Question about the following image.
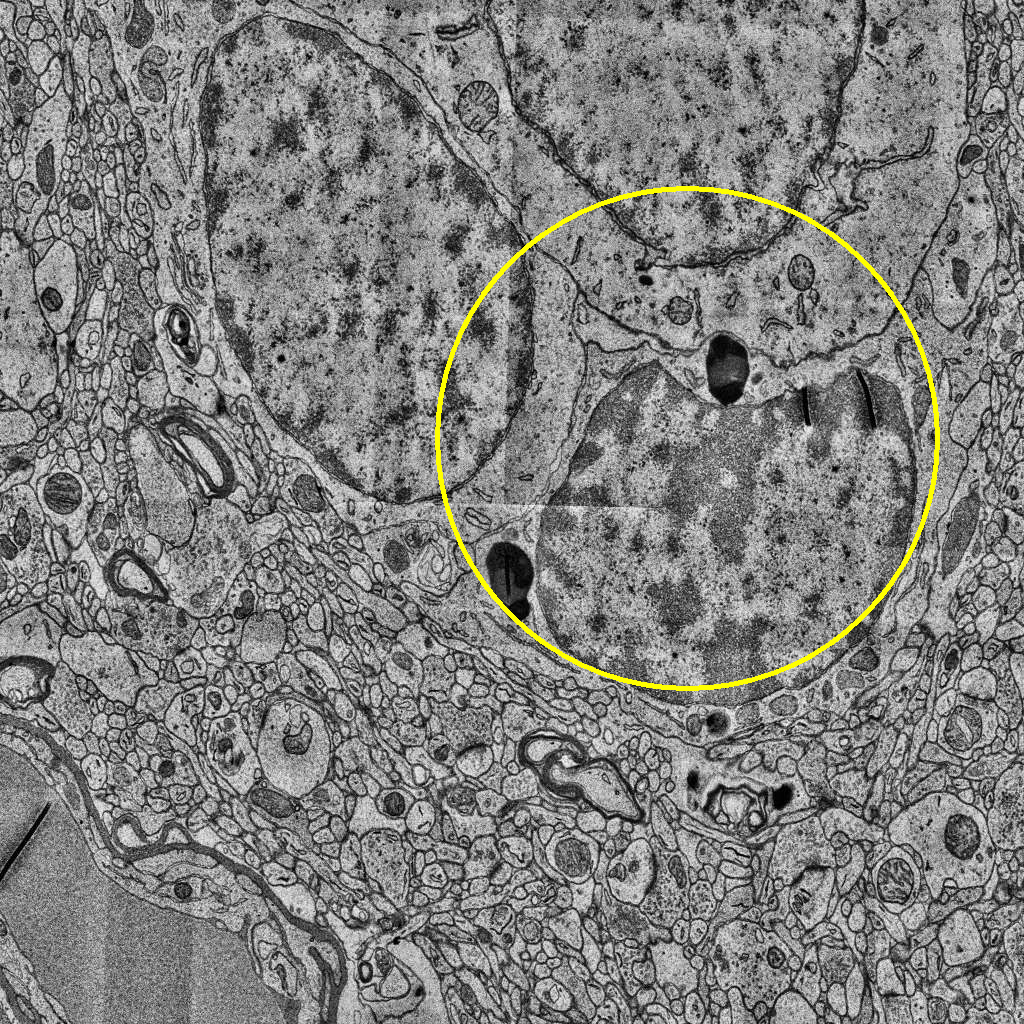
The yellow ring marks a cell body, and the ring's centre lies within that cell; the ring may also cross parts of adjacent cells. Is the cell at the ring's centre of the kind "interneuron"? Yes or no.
No, it is of another kind.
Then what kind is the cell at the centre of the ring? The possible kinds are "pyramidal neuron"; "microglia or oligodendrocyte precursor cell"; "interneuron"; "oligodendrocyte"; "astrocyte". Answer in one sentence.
So the cell at the centre is a microglial cell or oligodendrocyte precursor cell.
